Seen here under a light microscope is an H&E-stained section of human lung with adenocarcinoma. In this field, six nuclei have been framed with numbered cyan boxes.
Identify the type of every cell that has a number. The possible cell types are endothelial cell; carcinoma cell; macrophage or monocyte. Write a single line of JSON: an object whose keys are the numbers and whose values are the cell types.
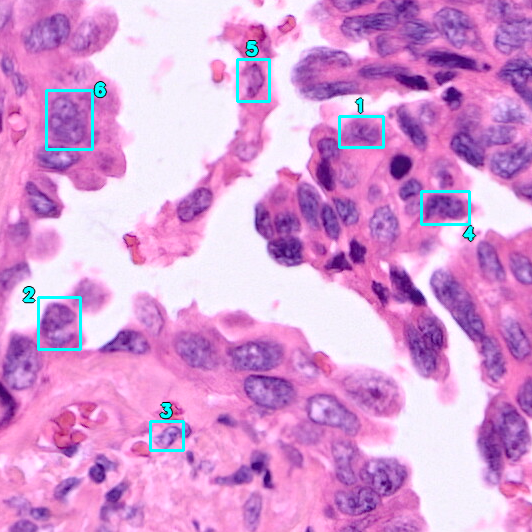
{"1": "carcinoma cell", "2": "carcinoma cell", "3": "endothelial cell", "4": "carcinoma cell", "5": "macrophage or monocyte", "6": "carcinoma cell"}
